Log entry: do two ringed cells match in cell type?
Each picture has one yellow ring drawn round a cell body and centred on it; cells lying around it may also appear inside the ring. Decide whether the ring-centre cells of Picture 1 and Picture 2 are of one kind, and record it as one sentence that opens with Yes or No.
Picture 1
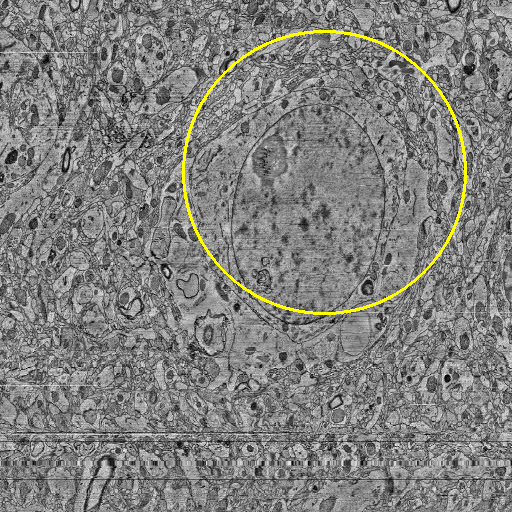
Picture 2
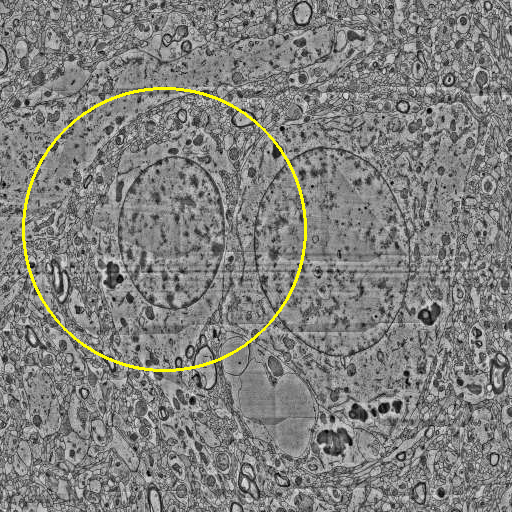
No, the cells at the ring centres of the two pictures belong to two kinds.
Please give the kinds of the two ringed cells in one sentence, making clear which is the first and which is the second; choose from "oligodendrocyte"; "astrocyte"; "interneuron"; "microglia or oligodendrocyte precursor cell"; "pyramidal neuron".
In the second picture the ringed cell is an astrocyte; in the first it is a pyramidal neuron.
